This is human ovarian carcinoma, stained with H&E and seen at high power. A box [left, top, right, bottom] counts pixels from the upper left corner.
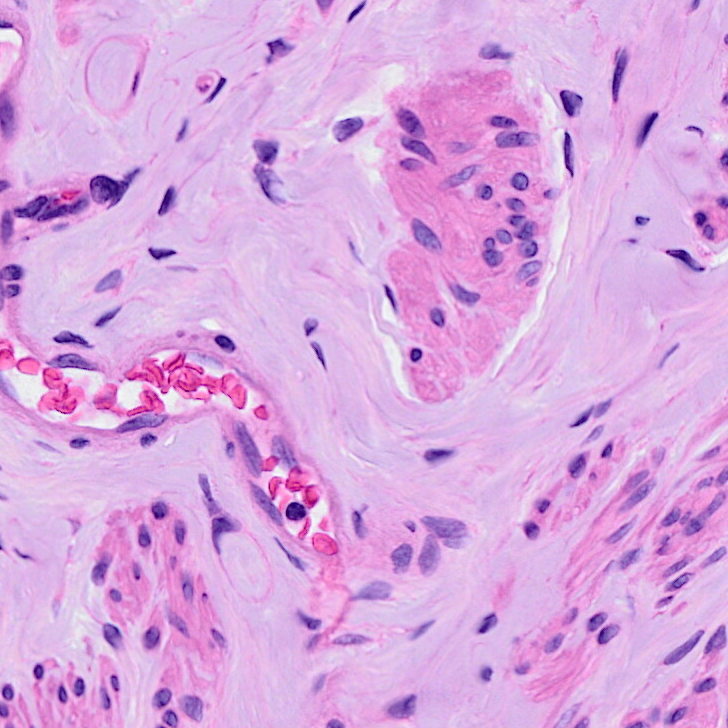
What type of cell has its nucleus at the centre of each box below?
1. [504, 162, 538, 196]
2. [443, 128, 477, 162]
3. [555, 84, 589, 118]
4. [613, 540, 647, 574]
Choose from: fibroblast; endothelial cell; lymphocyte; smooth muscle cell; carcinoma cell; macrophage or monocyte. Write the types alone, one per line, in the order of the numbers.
smooth muscle cell
smooth muscle cell
fibroblast
smooth muscle cell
